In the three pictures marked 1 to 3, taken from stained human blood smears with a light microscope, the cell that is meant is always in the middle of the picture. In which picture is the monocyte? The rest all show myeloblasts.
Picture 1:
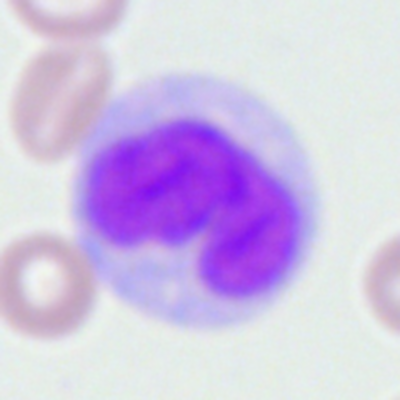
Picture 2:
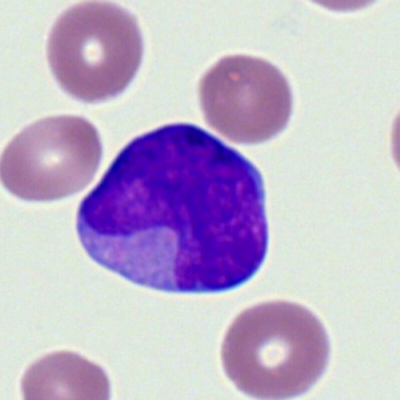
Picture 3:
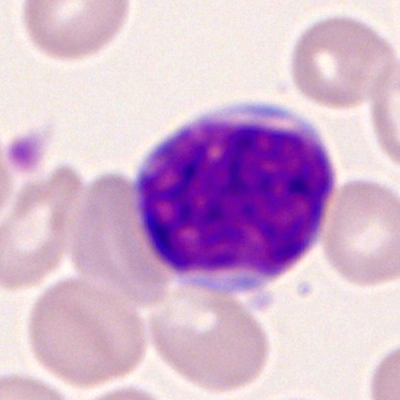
1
